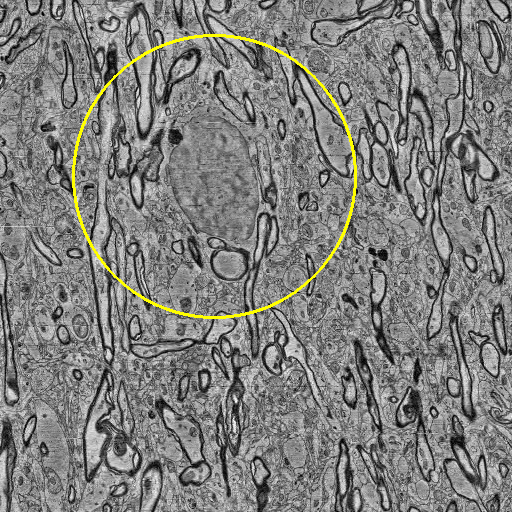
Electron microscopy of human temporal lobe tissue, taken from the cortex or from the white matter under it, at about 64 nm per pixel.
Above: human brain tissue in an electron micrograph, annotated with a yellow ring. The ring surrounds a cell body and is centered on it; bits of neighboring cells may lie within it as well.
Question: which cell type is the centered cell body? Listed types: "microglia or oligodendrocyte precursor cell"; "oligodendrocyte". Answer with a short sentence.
The centered cell body is an oligodendrocyte.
